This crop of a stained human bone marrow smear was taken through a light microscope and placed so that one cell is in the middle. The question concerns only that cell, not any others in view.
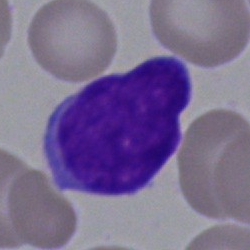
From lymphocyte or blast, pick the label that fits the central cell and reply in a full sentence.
The cell occupying the middle of the crop is a blast.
